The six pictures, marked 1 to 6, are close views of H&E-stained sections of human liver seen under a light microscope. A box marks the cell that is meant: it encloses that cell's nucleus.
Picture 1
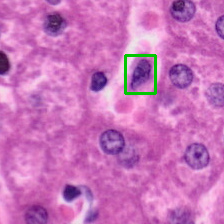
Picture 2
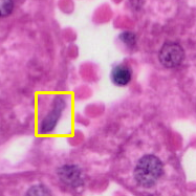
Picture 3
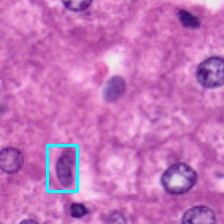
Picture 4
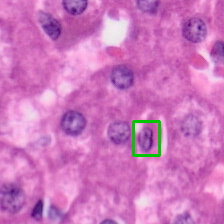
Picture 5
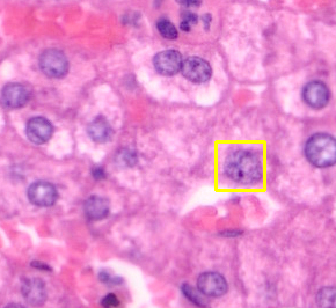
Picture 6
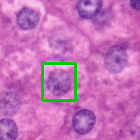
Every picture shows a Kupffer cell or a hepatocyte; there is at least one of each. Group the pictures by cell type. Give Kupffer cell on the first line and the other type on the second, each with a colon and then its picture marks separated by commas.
Kupffer cell: 1, 2, 3, 4
hepatocyte: 5, 6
